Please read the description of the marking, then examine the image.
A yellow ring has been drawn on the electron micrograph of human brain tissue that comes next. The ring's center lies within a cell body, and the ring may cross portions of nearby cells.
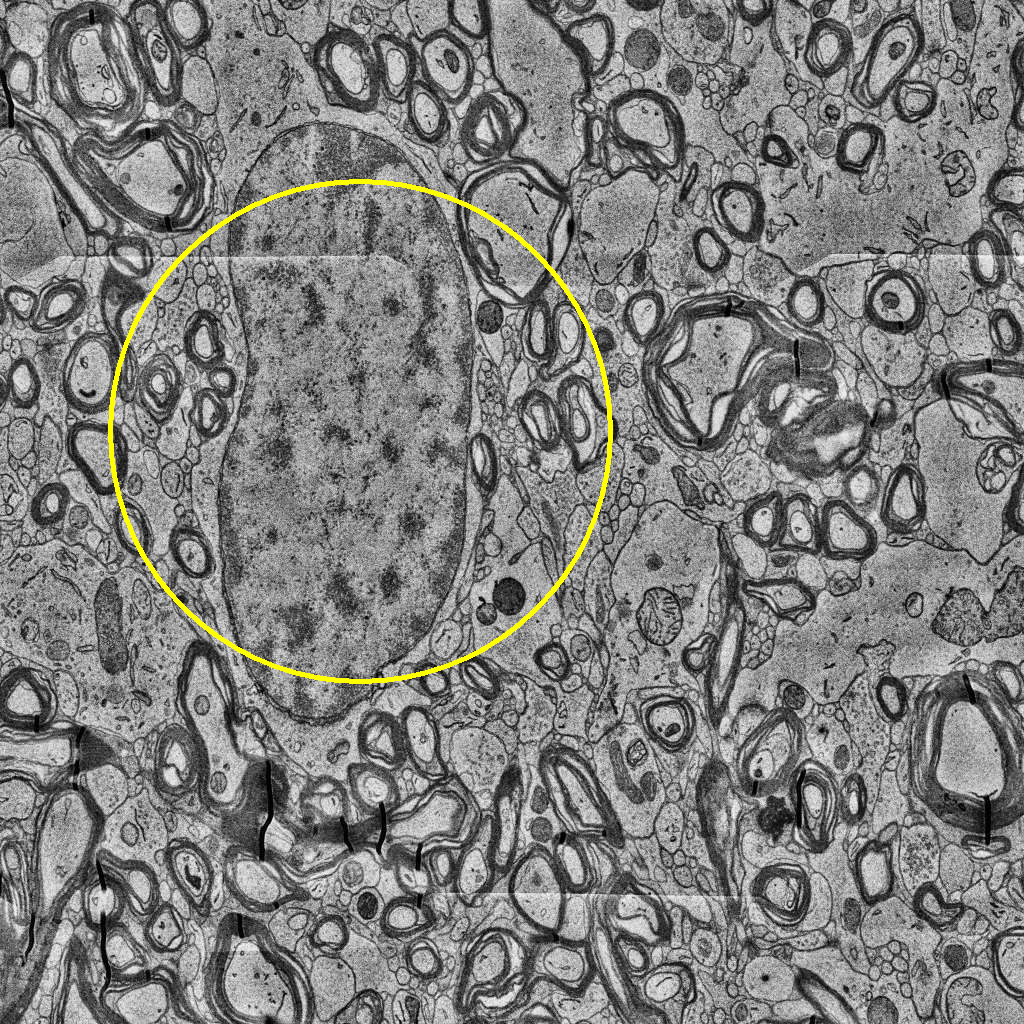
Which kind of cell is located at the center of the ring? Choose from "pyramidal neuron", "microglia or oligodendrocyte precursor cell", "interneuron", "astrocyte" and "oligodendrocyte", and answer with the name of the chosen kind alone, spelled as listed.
microglia or oligodendrocyte precursor cell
